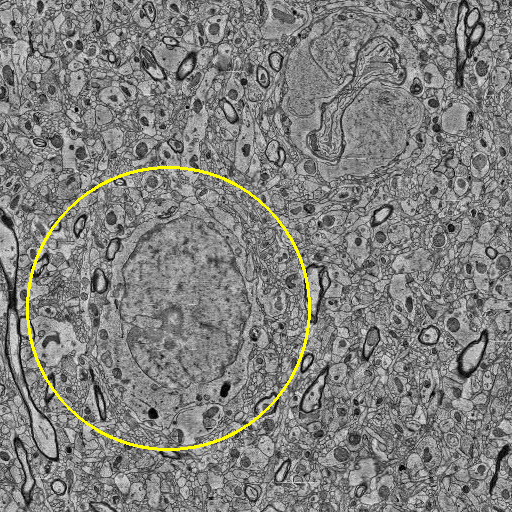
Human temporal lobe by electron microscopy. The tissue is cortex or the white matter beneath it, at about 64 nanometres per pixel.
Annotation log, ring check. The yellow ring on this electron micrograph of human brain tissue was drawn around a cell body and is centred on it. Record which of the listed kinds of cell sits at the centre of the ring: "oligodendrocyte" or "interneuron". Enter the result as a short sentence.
The cell at the centre of the ring is an interneuron.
